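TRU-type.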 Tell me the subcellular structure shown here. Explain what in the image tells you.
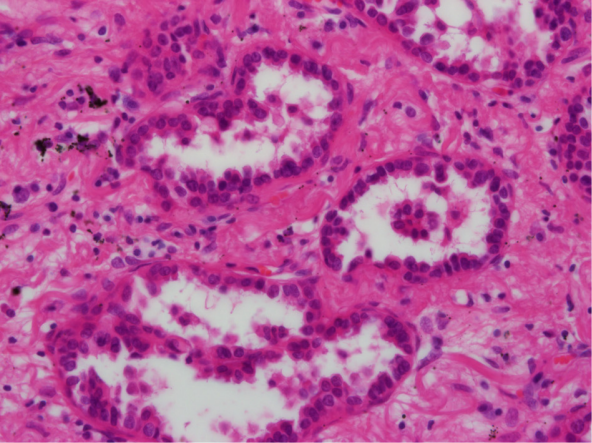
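Cuboidal cells line glandular spaces. The luminal surface of each cell bulges into the lumen in a rounded contour.
Conclusion: dome-shaped cytoplasm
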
